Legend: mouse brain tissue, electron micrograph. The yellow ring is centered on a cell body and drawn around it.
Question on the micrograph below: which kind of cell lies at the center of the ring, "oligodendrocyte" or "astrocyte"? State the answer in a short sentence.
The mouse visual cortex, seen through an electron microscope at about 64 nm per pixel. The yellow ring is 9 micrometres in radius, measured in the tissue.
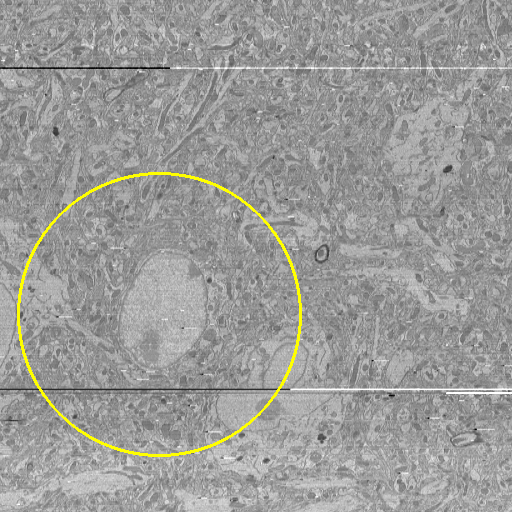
At the center of the ring lies an astrocyte.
